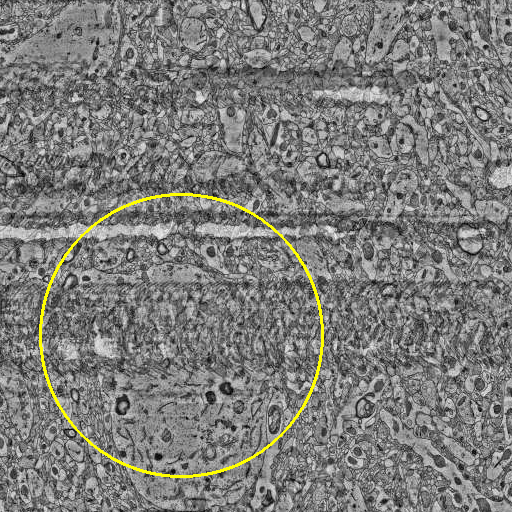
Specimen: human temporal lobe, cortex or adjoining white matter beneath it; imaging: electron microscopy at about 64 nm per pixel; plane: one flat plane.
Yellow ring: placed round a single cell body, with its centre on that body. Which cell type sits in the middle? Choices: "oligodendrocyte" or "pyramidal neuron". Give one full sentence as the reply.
It is a pyramidal neuron whose cell body sits at the centre of the yellow ring.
